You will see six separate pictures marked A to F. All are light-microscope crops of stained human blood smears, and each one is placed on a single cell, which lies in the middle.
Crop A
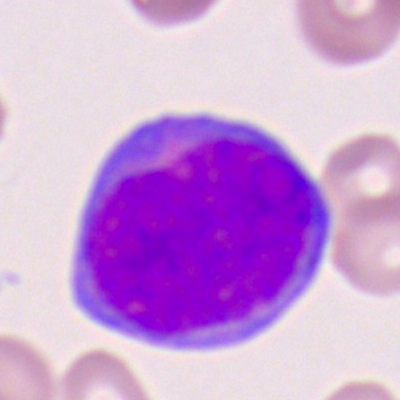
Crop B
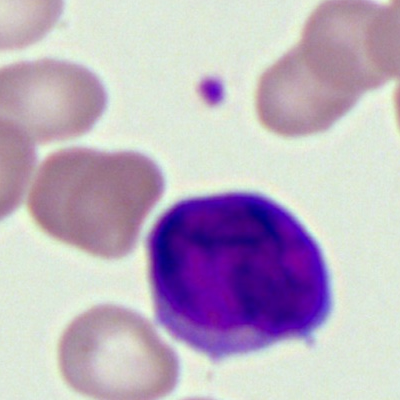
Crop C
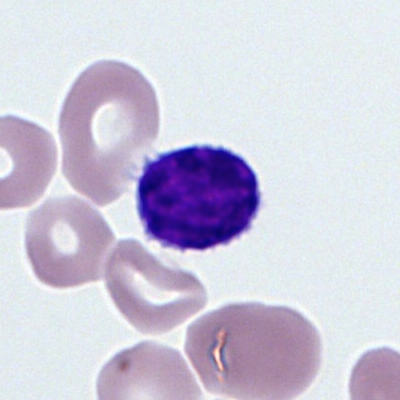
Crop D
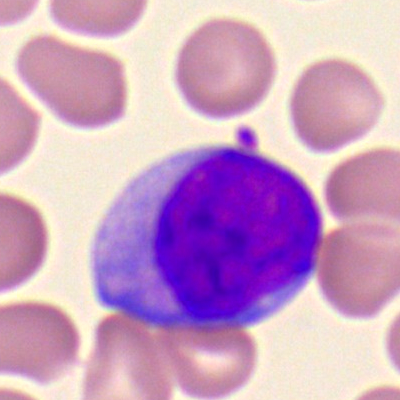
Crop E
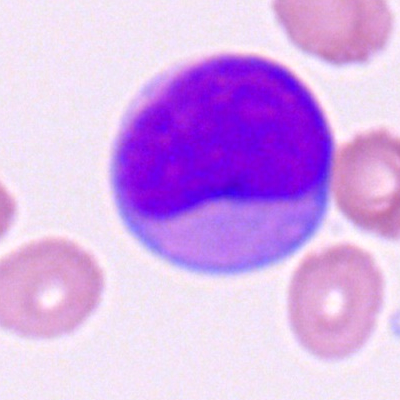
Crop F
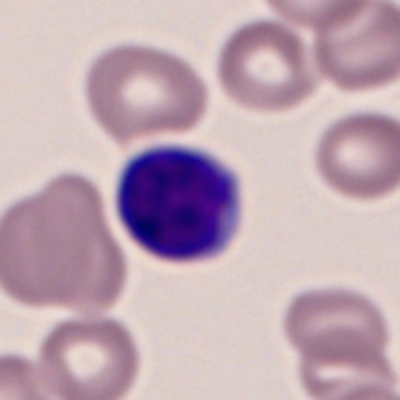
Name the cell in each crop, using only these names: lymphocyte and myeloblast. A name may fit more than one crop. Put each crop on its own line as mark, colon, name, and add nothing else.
A: myeloblast
B: myeloblast
C: lymphocyte
D: myeloblast
E: myeloblast
F: lymphocyte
